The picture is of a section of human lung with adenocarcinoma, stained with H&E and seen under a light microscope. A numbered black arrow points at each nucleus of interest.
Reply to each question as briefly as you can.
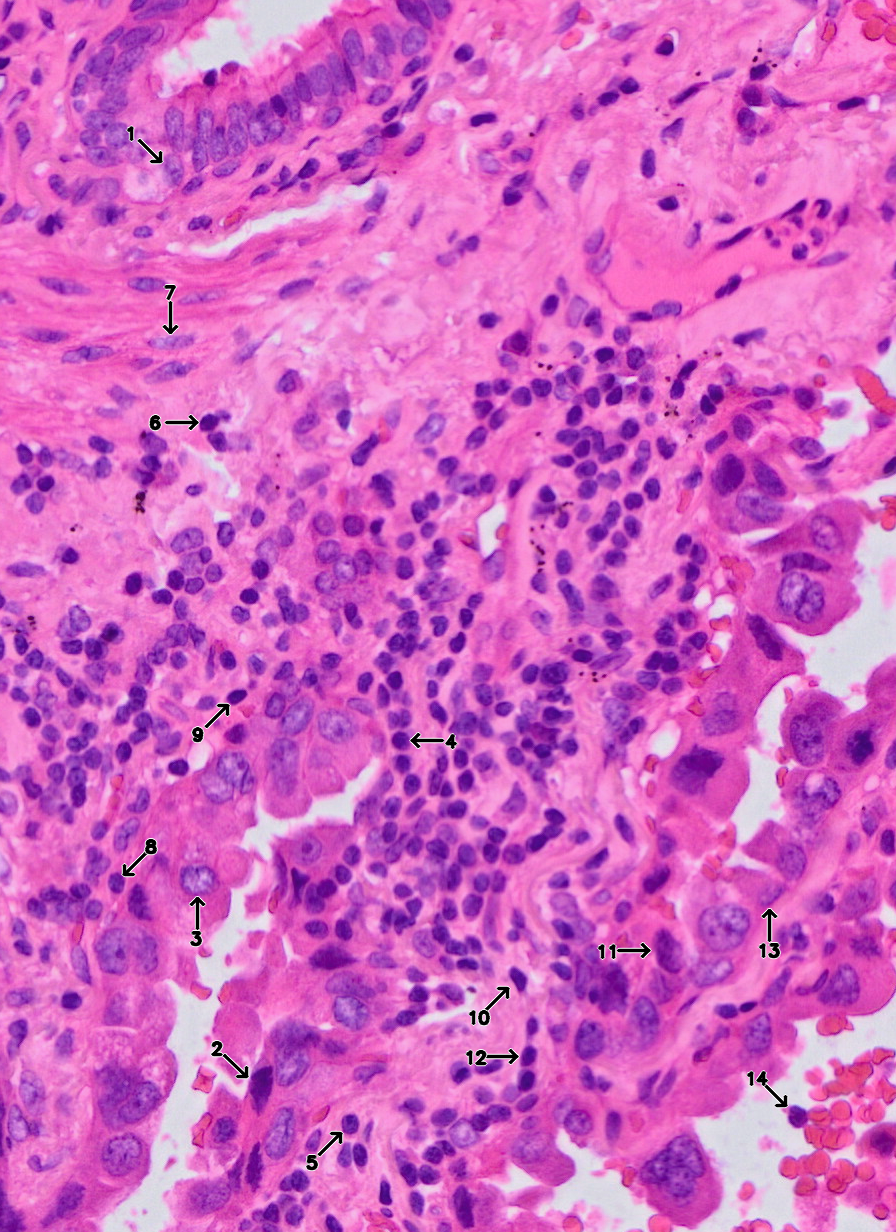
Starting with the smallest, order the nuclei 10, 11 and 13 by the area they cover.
10, 13, 11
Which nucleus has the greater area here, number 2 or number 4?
2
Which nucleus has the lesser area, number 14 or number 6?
6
